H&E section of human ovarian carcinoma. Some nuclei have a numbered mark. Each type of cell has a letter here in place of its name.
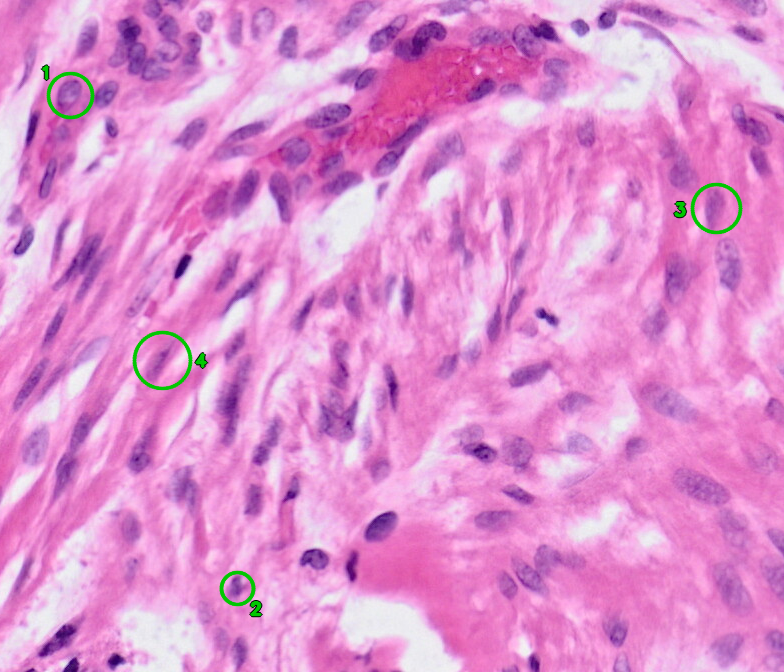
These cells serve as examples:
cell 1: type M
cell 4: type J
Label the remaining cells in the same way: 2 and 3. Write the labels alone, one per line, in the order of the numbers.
type J
type J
